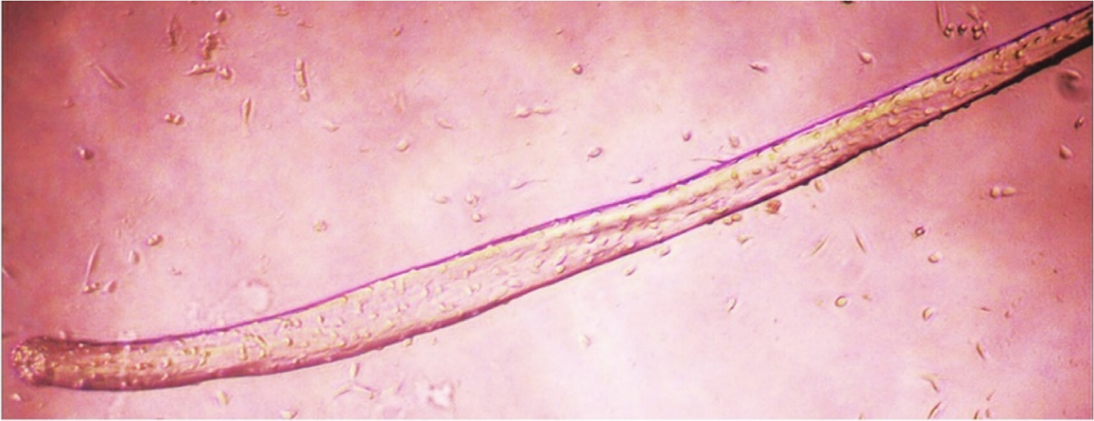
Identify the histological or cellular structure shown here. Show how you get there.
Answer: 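A single long, unbranched cylindrical fiber crosses the whole field diagonally. The fiber is far wider than the small cells around it and has a rounded end. Many small elongated cells lie scattered on the dish around the fiber.
Myofibers.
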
